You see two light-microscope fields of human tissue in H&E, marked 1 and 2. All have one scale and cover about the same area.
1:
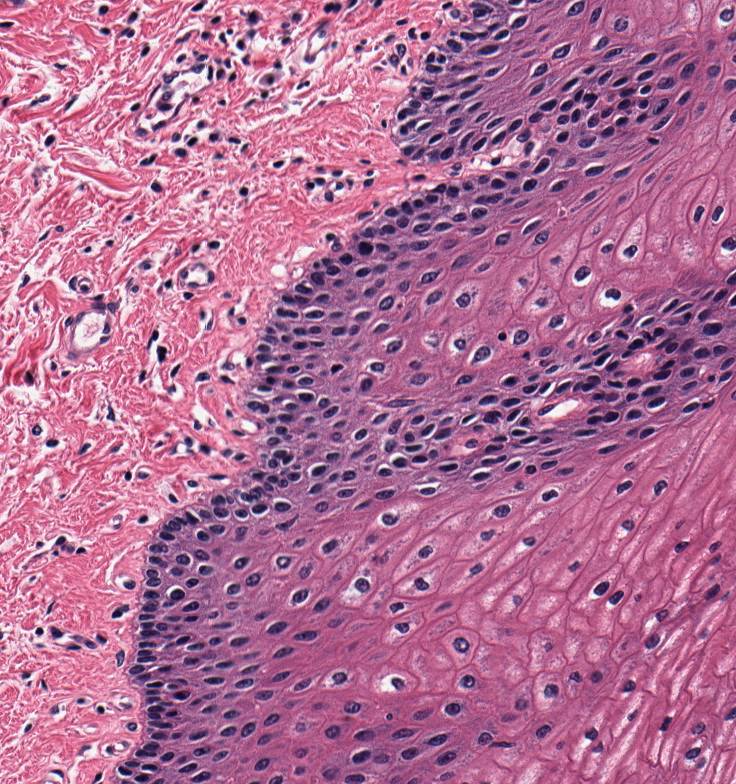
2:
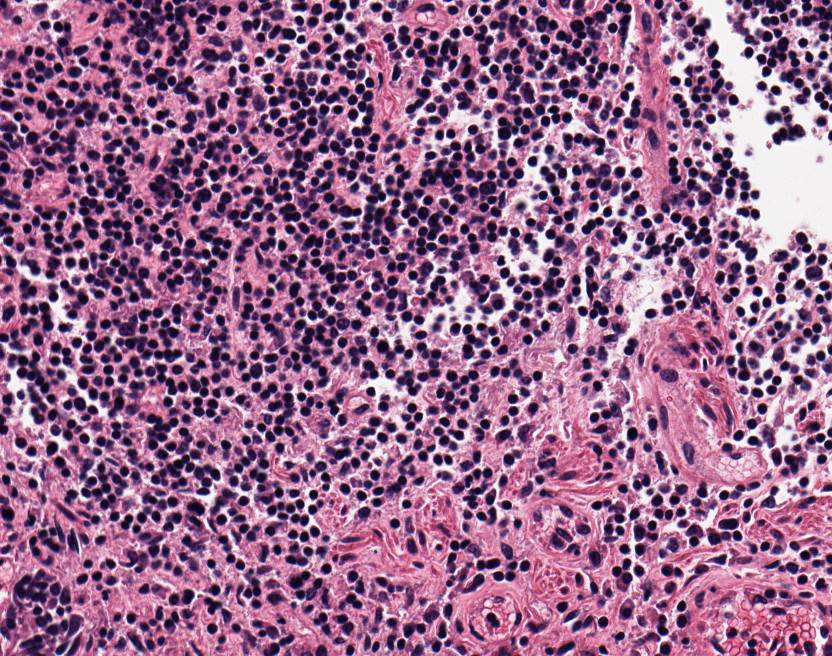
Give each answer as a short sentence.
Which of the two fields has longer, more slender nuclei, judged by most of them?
The nuclei are more elongated in field 1.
